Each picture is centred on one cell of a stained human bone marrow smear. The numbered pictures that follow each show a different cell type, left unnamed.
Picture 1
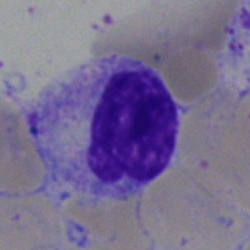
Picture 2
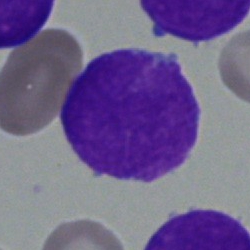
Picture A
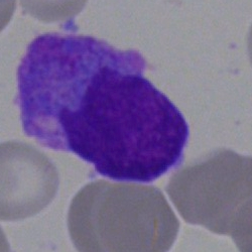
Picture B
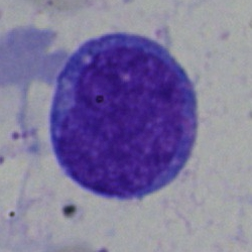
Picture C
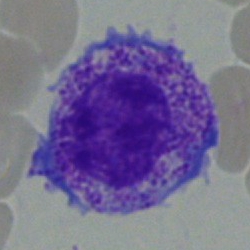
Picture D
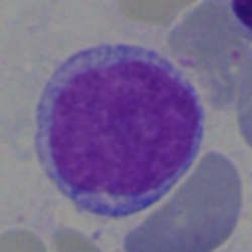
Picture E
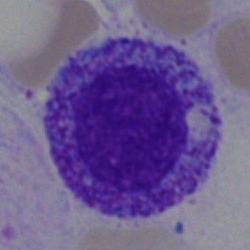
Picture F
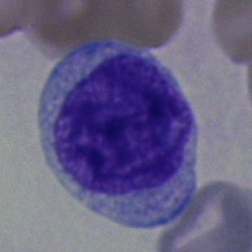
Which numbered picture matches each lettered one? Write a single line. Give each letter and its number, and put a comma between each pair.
A 2, B 2, C 1, D 2, E 1, F 1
